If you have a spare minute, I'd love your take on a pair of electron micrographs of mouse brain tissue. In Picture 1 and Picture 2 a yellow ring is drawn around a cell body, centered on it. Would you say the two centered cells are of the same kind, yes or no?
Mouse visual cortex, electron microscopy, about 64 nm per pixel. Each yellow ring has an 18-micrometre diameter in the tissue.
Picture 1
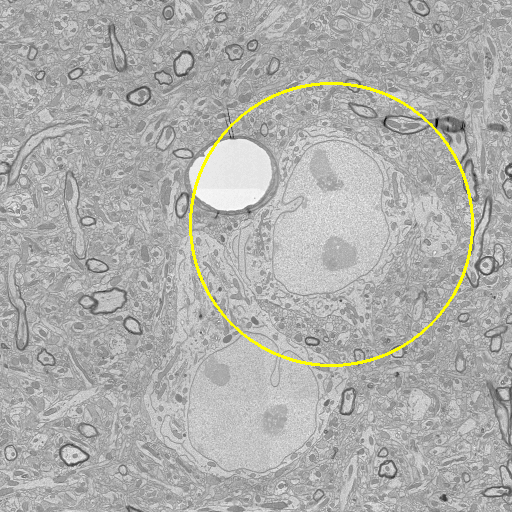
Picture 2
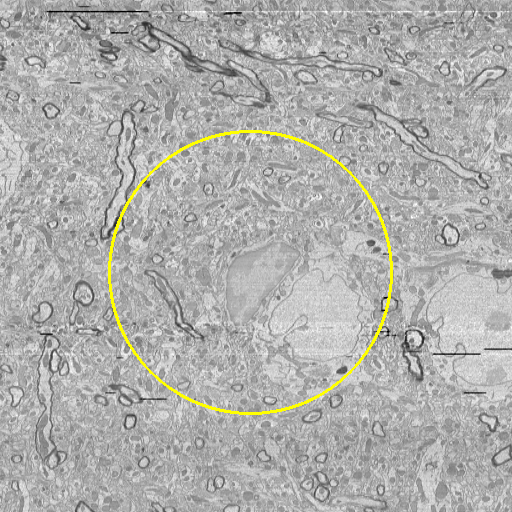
no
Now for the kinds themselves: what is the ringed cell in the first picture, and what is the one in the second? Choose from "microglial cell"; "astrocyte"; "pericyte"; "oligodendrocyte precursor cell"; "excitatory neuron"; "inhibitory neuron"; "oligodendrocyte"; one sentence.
Here the first cell is an excitatory neuron and the second cell is a microglial cell.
